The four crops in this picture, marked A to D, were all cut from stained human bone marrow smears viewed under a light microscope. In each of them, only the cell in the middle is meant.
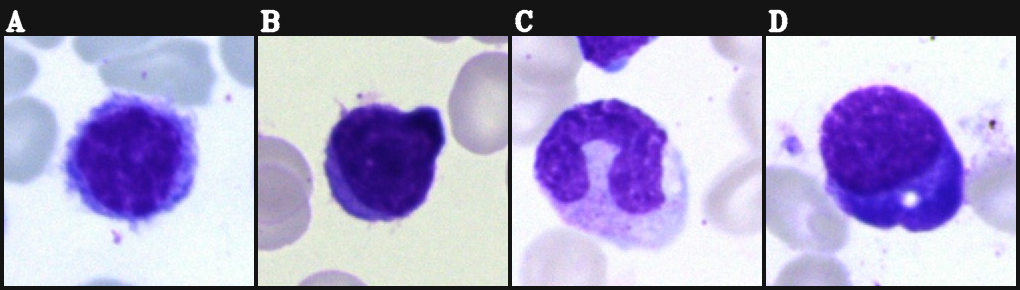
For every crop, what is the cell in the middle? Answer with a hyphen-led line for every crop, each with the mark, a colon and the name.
- A: hairy cell
- B: lymphocyte
- C: band neutrophil
- D: plasma cell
